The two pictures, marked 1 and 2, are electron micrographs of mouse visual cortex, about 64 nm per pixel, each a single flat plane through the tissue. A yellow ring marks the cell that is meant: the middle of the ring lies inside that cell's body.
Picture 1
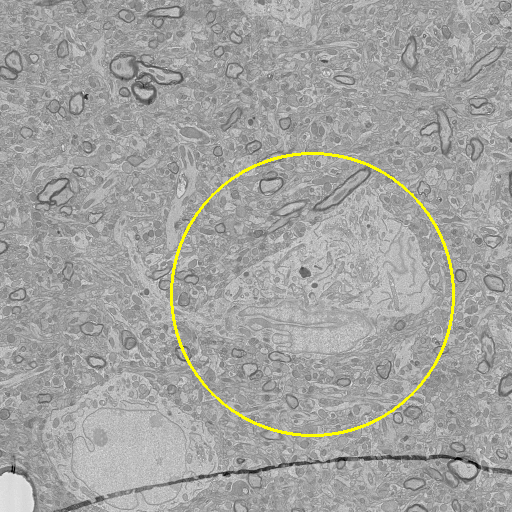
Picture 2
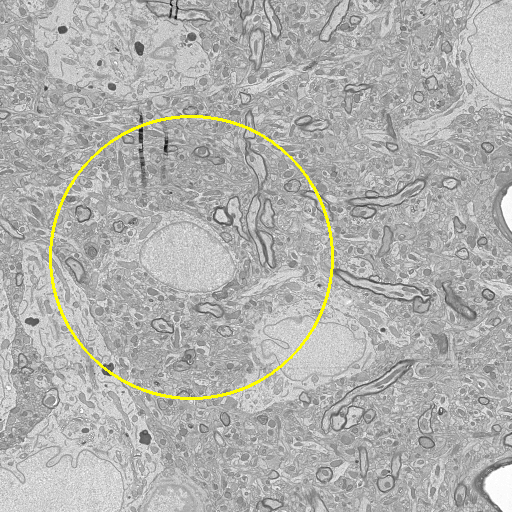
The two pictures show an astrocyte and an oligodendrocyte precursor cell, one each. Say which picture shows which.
Picture 1 shows an oligodendrocyte precursor cell and picture 2 shows an astrocyte.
